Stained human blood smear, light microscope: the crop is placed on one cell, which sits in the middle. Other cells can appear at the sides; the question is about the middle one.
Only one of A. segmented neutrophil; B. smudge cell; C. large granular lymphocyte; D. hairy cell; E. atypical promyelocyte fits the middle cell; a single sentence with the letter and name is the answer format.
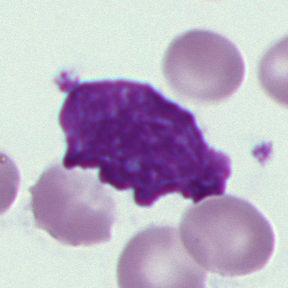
The central cell in this crop is a smudge cell, corresponding to option B, the correct option.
